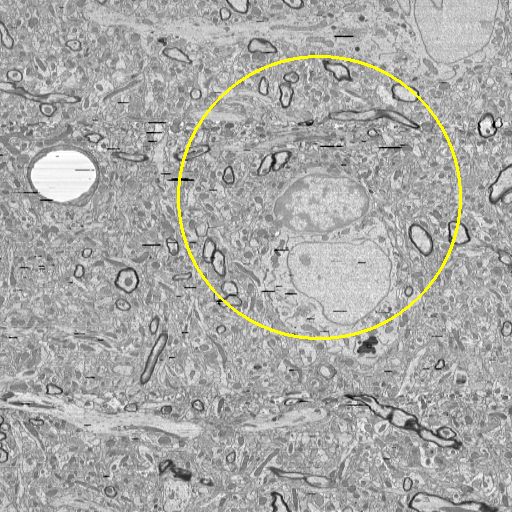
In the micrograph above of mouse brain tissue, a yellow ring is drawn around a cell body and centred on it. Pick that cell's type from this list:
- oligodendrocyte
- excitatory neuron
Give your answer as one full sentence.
Going by the list, an oligodendrocyte is the cell on which the yellow ring is centred.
